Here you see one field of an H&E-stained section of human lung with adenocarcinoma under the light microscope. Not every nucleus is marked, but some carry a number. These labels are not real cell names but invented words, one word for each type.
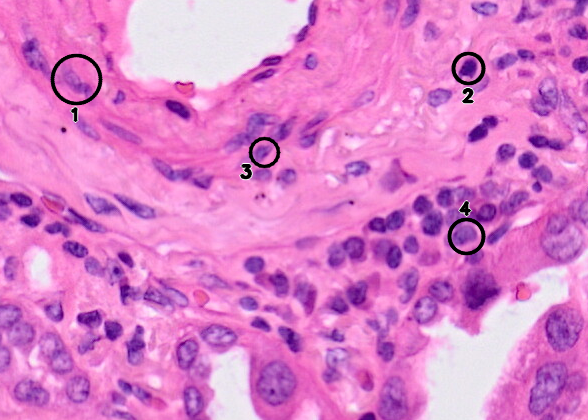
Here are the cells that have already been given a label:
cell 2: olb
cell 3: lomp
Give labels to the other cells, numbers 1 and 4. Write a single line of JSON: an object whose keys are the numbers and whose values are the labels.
{"1": "lomp", "4": "olb"}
